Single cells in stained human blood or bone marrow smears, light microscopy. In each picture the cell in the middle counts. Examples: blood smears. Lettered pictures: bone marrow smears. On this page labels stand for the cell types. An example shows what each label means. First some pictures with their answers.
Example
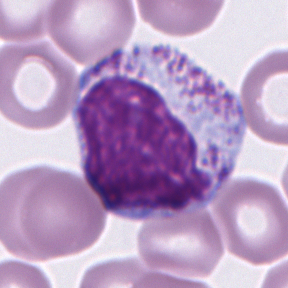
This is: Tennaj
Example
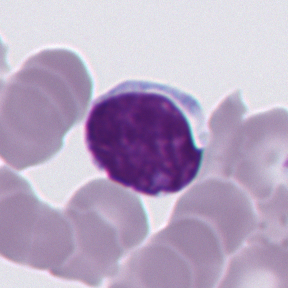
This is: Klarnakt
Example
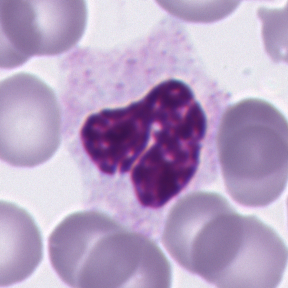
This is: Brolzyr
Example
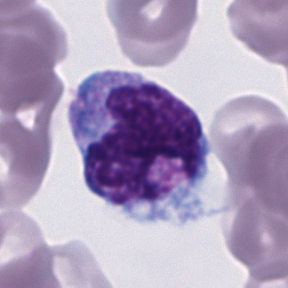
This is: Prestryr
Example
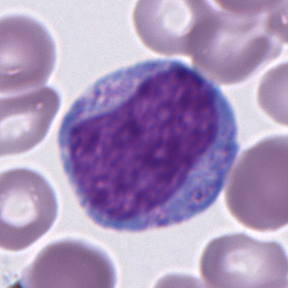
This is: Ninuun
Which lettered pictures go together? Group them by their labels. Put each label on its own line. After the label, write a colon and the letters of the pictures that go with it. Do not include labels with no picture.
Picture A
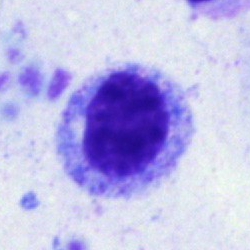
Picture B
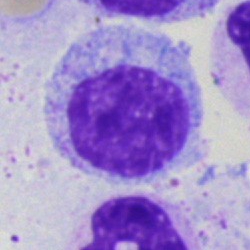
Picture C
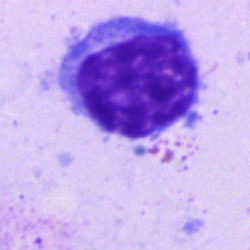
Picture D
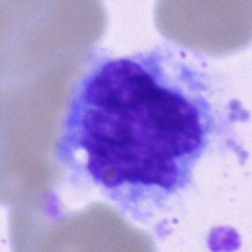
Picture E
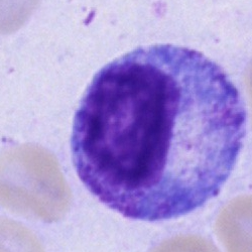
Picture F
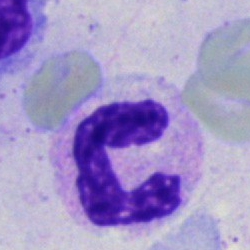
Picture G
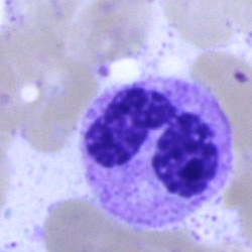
Tennaj: A, B
Klarnakt: C
Brolzyr: F, G
Prestryr: D
Ninuun: E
